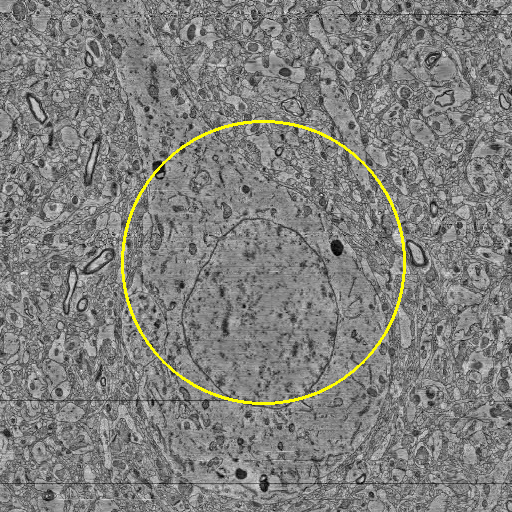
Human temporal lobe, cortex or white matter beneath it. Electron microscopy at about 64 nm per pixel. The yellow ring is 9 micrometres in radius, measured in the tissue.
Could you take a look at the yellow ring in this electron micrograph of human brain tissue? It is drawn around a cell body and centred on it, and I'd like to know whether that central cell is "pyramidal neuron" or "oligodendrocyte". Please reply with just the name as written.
pyramidal neuron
